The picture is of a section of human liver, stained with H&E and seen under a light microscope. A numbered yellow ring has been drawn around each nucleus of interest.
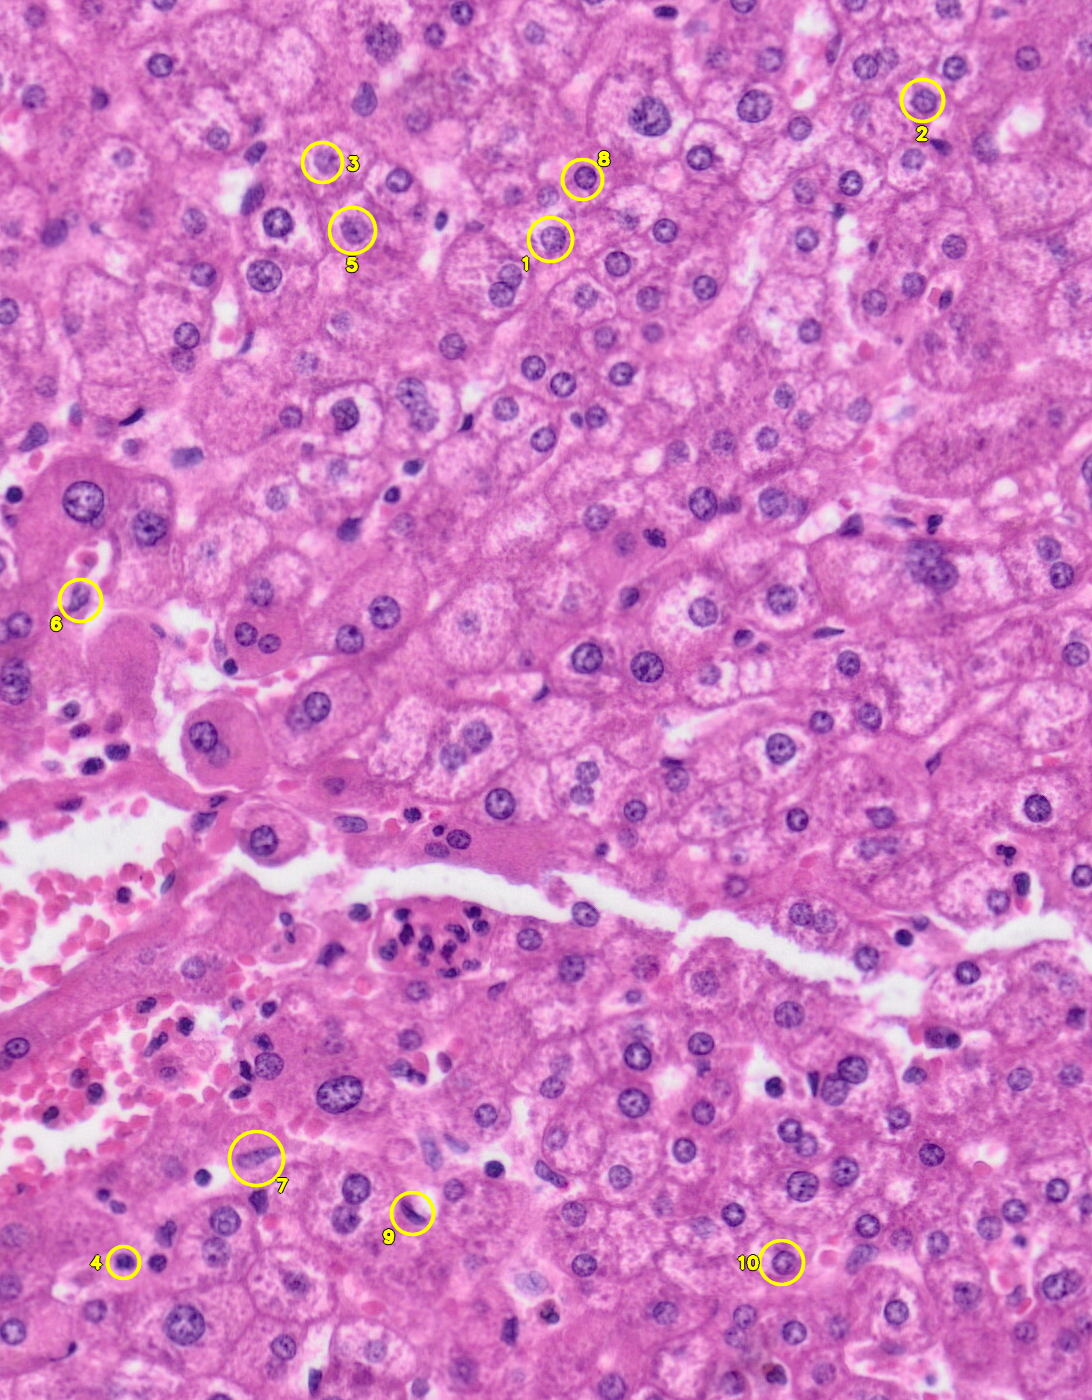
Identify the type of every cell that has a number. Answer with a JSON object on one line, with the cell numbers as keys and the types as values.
{"1": "hepatocyte", "2": "hepatocyte", "3": "hepatocyte", "4": "lymphocyte", "5": "hepatocyte", "6": "Kupffer cell", "7": "Kupffer cell", "8": "hepatocyte", "9": "endothelial cell", "10": "hepatocyte"}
